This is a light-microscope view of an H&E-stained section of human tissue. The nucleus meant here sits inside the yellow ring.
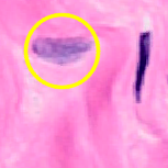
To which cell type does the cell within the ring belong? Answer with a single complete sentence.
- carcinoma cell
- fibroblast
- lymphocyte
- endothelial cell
As a matter of cell type, the cell within the ring is a fibroblast.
